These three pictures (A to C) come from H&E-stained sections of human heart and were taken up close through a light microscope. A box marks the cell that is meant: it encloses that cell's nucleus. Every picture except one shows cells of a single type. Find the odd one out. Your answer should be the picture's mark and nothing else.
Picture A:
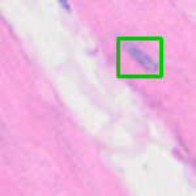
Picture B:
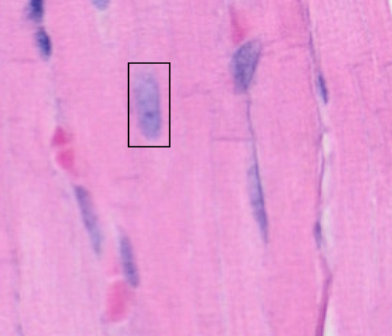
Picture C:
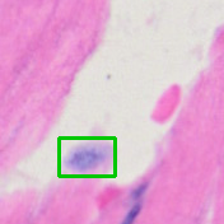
C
